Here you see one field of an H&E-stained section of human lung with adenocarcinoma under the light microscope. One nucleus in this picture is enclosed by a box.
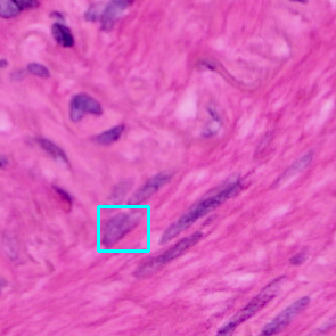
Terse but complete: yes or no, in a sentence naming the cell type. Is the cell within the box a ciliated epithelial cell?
No, mark the cell within the box as a smooth muscle cell or pericyte, not as a ciliated epithelial cell.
